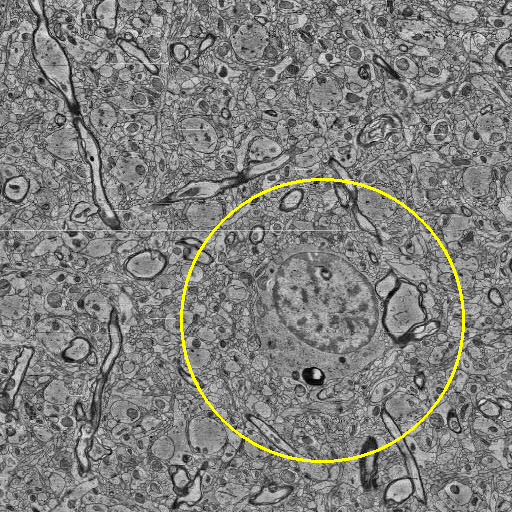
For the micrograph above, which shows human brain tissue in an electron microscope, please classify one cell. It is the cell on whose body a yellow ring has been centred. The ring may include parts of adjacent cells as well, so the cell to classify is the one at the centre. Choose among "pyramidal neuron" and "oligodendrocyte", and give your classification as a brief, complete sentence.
I classify this cell as an oligodendrocyte.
